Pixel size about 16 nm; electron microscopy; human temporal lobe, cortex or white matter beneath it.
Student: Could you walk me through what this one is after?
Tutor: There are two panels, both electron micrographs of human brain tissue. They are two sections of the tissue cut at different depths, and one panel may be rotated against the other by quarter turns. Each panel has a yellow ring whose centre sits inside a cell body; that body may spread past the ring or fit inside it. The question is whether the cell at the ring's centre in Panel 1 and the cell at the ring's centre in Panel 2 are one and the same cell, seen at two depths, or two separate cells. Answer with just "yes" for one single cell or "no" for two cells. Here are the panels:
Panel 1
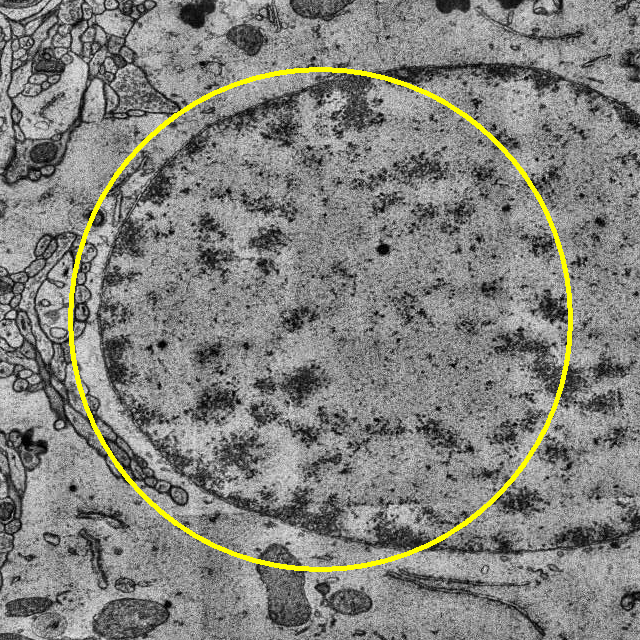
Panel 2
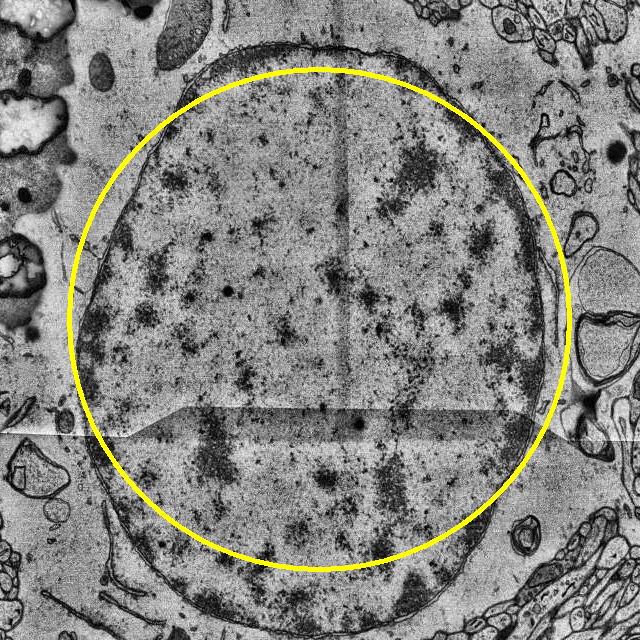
no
